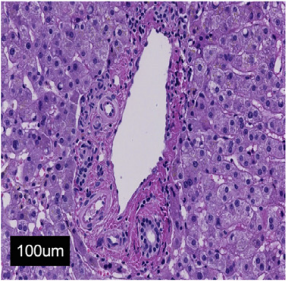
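This is liver tissue centred on a large, elongated, empty vessel lumen bordered by a thin band of pink connective tissue. Narrow sinusoidal spaces run between the cords, and scattered small dark nuclei lie between the hepatocytes. The overall lobular architecture is preserved.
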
